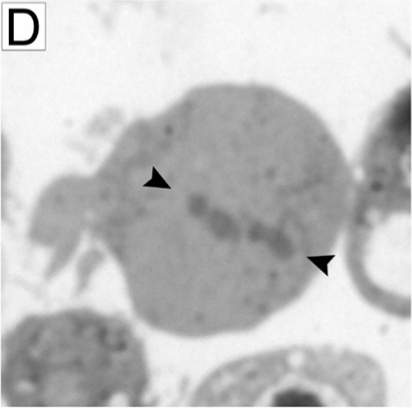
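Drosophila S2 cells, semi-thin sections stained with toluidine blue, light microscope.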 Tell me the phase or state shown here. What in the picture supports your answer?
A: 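Dark chromosomes form a single line across the rounded cell. No nuclear envelope is visible.
Answer: Metaphase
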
